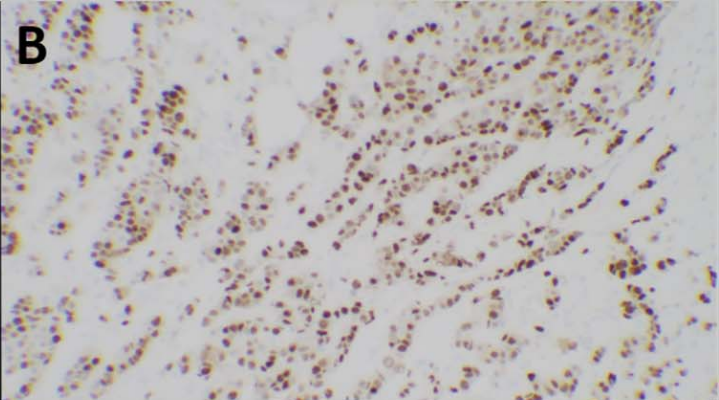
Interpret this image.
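Here tumor cells form elongated cords, strands and small nests running diagonally through pale stroma. Most of their round to oval nuclei are stained brown, some darkly and some more lightly, giving a mottled look to the cords.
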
